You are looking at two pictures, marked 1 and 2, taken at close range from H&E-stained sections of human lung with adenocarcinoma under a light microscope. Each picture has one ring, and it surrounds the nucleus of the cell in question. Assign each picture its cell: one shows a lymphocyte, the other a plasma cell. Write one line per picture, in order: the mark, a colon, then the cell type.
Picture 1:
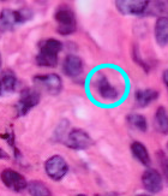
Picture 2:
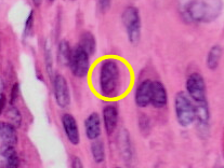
1: lymphocyte
2: plasma cell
